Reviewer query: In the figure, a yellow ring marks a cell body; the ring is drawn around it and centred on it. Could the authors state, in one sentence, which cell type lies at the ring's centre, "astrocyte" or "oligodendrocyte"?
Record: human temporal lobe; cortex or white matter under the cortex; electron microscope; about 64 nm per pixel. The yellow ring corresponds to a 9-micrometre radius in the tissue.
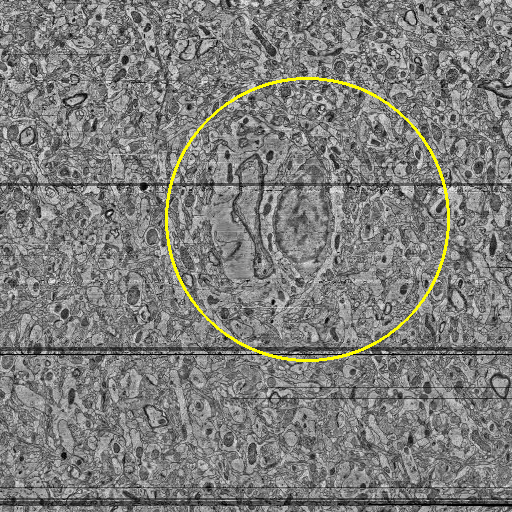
The ring is centred on an oligodendrocyte.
